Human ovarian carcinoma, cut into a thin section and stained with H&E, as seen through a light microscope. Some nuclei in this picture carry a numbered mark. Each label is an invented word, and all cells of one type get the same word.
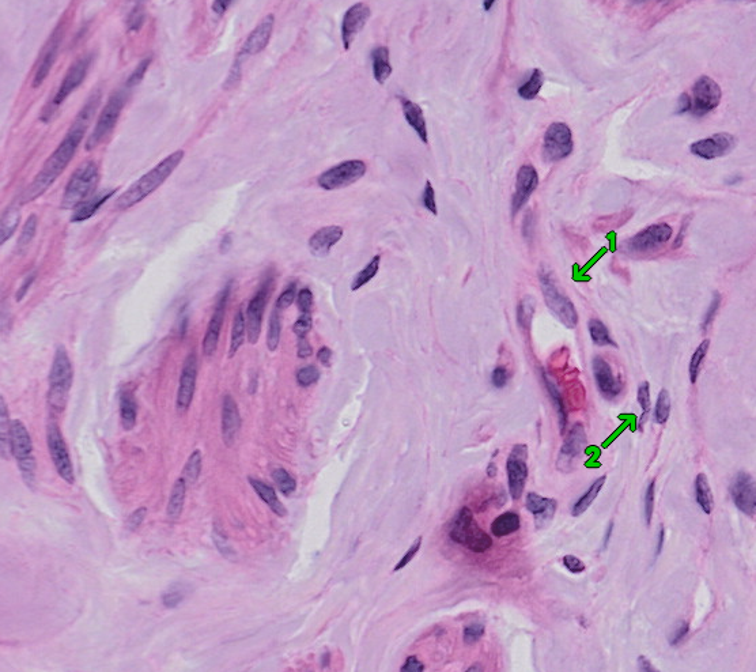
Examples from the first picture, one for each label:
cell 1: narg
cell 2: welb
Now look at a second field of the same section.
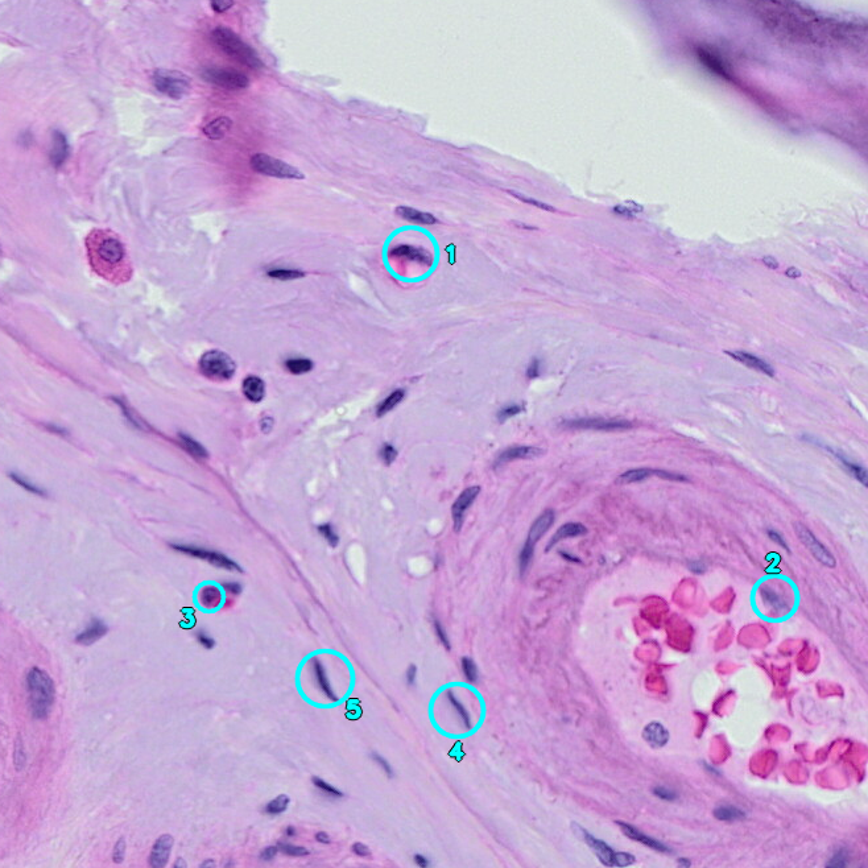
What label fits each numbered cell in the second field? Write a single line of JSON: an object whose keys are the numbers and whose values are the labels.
{"1": "narg", "2": "narg", "3": "narg", "4": "welb", "5": "welb"}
